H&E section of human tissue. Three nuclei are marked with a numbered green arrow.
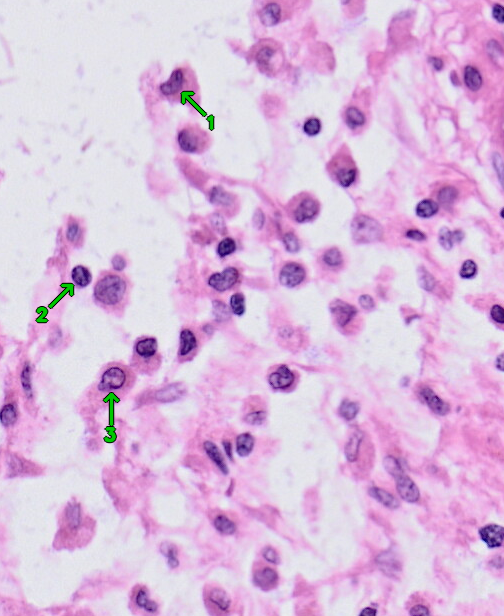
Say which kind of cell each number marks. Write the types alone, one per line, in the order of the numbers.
macrophage or monocyte
lymphocyte
macrophage or monocyte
